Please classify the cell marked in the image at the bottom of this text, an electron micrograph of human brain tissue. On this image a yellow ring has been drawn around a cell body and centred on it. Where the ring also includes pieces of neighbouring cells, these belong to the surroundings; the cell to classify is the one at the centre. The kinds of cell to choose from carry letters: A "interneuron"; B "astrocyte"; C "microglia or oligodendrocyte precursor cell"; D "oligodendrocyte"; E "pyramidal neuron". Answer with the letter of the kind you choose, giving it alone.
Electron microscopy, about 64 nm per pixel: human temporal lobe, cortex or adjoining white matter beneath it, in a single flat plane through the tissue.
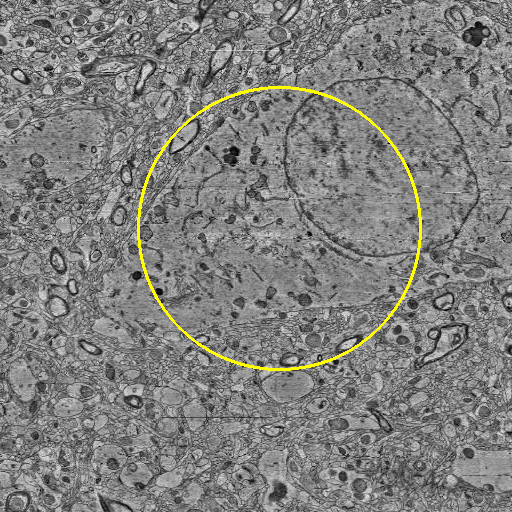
E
